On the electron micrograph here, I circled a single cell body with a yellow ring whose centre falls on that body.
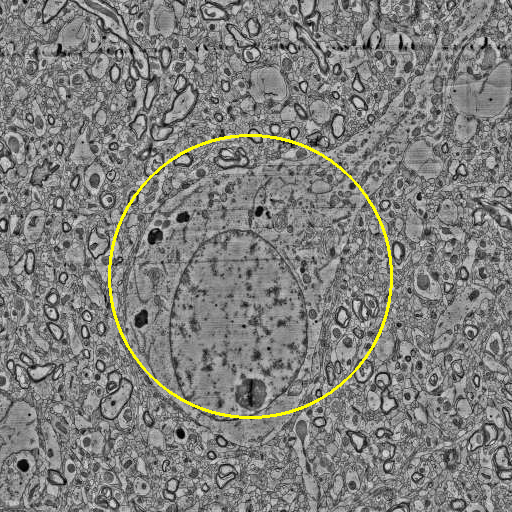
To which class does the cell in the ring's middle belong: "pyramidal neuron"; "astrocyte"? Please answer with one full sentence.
In this picture, the cell body circled at the ring's centre belongs to a pyramidal neuron.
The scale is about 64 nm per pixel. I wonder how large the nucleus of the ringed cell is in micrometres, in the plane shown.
The nucleus measures about 12 by 9 micrometres in this plane.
